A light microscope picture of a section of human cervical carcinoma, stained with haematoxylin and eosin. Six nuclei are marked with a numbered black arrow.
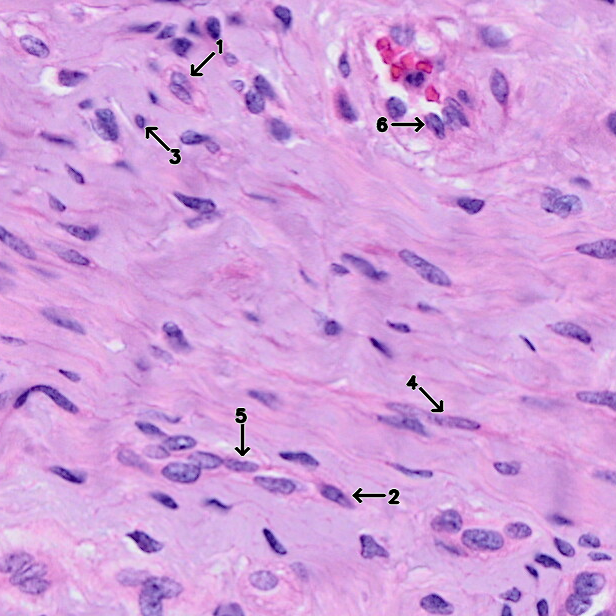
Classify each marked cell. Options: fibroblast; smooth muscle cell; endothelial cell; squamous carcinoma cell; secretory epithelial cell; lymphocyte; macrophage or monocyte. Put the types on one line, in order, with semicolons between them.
endothelial cell; endothelial cell; fibroblast; smooth muscle cell; endothelial cell; endothelial cell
